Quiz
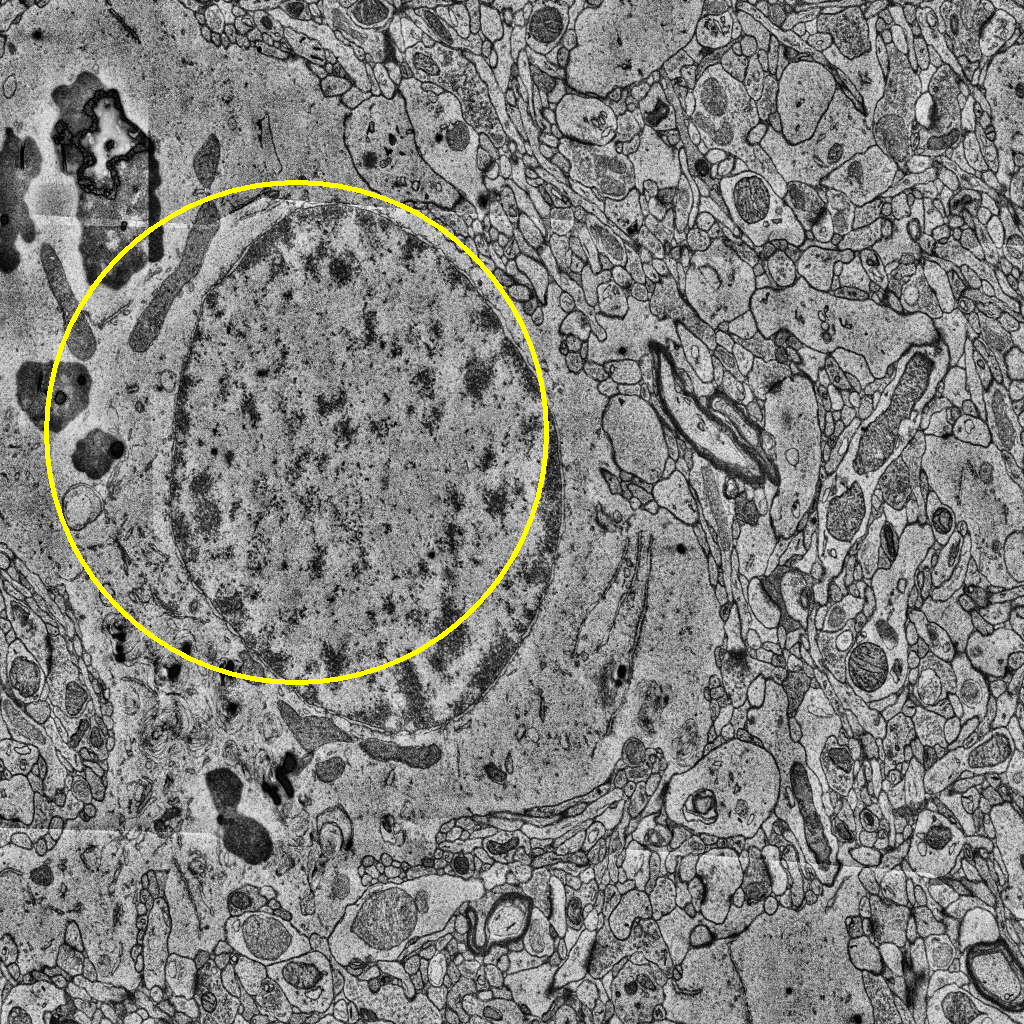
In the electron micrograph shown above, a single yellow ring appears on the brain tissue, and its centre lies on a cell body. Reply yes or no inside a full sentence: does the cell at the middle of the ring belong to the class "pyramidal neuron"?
No, the cell lying at the ring's centre in the picture belongs to a different class.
